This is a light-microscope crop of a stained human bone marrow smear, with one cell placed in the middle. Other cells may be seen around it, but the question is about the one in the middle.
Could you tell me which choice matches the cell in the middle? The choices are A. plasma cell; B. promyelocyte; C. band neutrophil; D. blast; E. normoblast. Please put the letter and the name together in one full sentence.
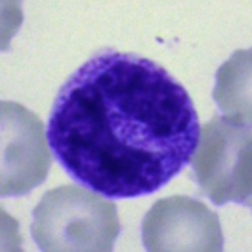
Option C is the correct option, with the middle cell being a band neutrophil.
